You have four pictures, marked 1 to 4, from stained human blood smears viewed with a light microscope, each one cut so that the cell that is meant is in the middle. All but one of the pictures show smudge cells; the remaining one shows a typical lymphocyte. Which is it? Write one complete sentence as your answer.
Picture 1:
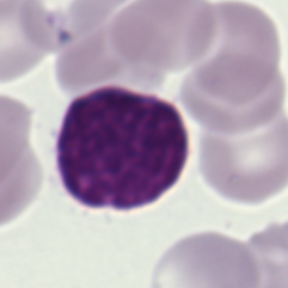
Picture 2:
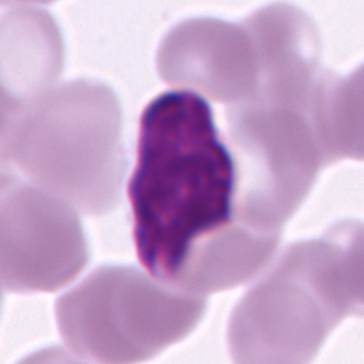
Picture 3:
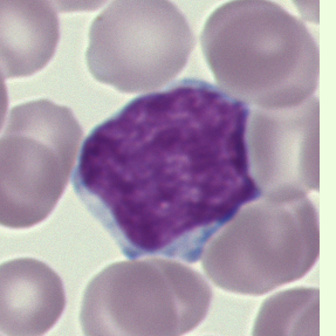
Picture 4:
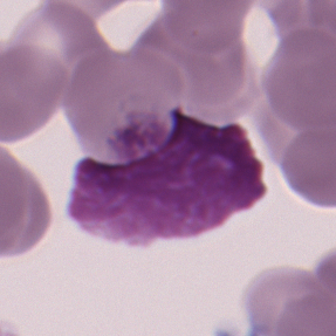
Picture 3 is the one that shows the typical lymphocyte.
